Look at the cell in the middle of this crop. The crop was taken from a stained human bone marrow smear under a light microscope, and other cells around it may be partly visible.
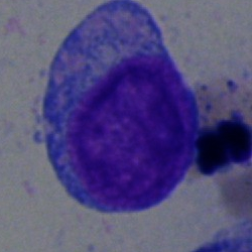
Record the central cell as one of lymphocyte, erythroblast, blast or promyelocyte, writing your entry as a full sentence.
The cell in the middle of the field of view is a blast.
